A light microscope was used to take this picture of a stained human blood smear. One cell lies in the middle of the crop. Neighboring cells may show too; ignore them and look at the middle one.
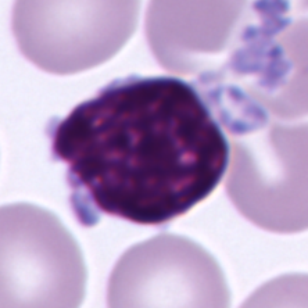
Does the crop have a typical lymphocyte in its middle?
yes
